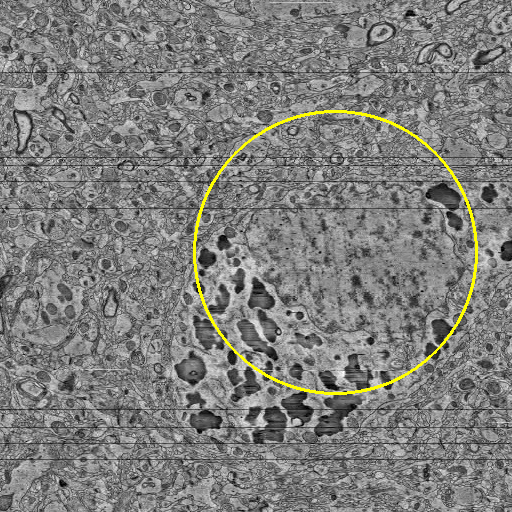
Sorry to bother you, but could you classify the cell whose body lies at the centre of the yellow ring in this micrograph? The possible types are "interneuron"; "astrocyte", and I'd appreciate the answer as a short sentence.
The ringed cell body is that of an interneuron.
